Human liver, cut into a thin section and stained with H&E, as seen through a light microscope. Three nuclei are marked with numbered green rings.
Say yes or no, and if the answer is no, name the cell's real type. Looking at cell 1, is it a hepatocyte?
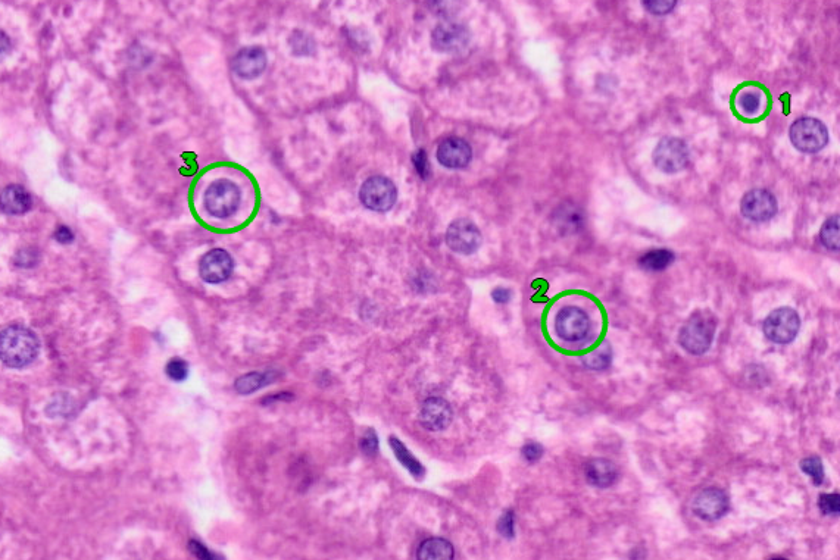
No, it is a lymphocyte.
